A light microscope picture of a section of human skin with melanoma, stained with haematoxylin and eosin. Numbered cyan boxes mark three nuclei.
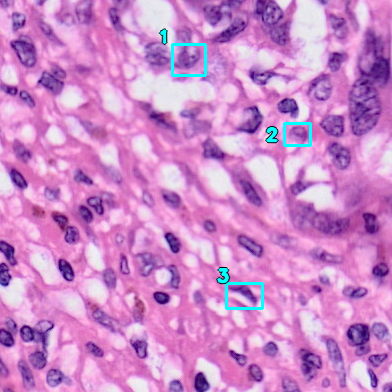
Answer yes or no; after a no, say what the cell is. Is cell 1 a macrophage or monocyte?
No, it is a melanoma cell.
